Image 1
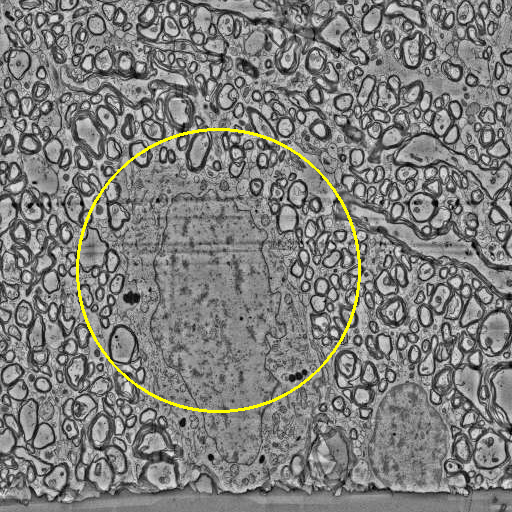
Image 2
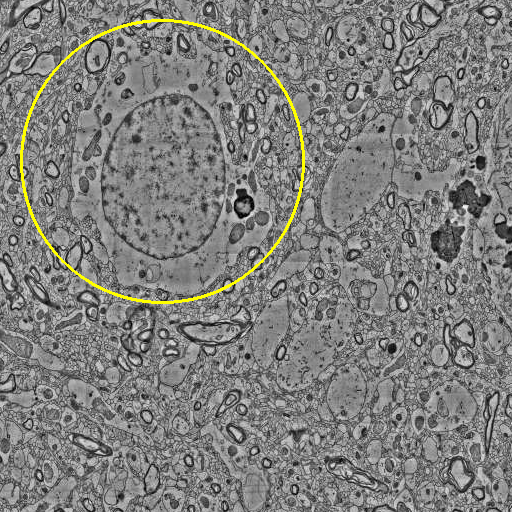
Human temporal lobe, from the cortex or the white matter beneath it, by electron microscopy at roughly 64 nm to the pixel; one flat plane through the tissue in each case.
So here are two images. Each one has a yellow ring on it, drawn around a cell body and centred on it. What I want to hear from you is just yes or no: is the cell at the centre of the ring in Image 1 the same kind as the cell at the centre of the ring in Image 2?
no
